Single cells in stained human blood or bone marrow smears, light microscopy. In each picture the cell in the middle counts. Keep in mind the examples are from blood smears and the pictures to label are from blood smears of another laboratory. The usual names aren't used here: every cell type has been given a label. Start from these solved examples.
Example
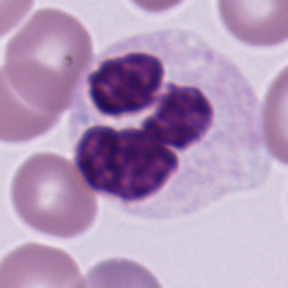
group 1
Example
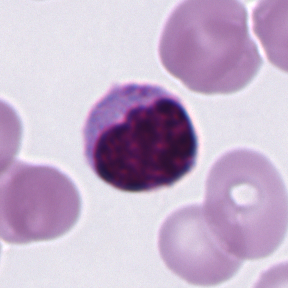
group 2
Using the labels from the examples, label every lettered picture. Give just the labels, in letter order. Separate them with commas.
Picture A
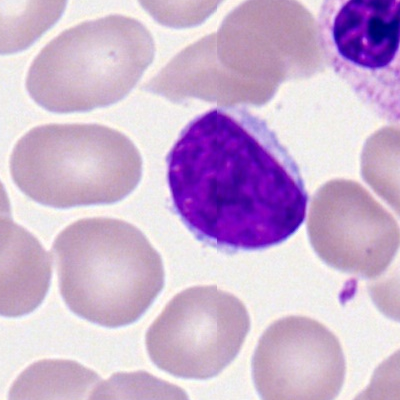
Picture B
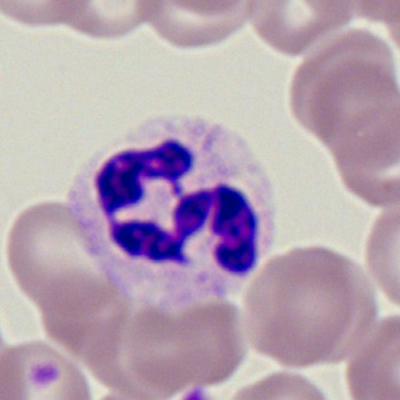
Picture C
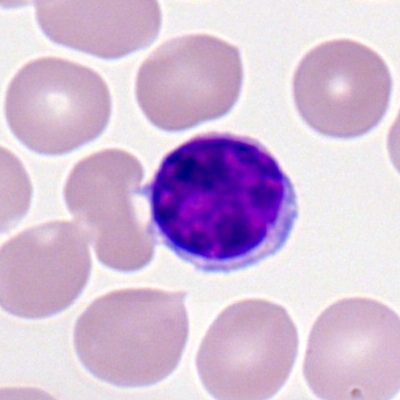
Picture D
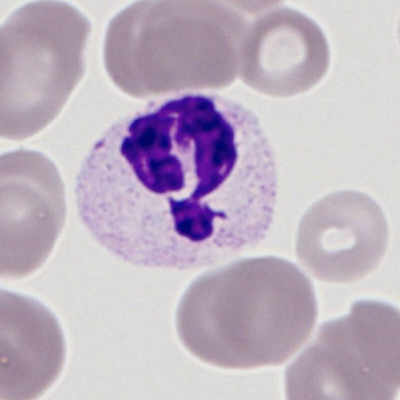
group 2, group 1, group 2, group 1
